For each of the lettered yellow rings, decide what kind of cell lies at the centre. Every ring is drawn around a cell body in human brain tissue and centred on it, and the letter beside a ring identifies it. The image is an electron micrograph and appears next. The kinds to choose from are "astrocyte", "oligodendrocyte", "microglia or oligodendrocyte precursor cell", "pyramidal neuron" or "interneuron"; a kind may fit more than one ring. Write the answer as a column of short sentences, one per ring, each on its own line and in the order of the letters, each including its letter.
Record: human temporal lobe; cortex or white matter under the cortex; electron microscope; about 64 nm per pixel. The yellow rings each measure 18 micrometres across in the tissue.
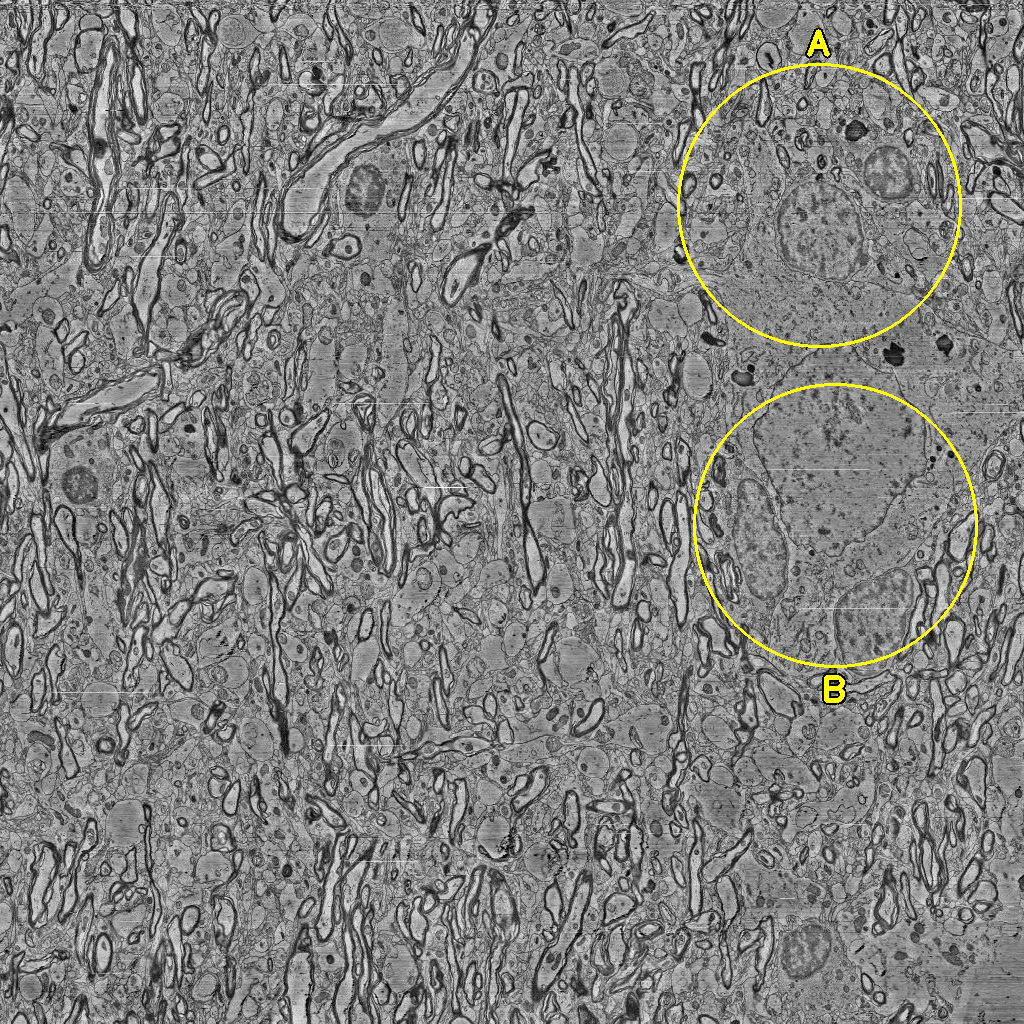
In the centre of ring A lies an oligodendrocyte.
In the centre of ring B lies a pyramidal neuron.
